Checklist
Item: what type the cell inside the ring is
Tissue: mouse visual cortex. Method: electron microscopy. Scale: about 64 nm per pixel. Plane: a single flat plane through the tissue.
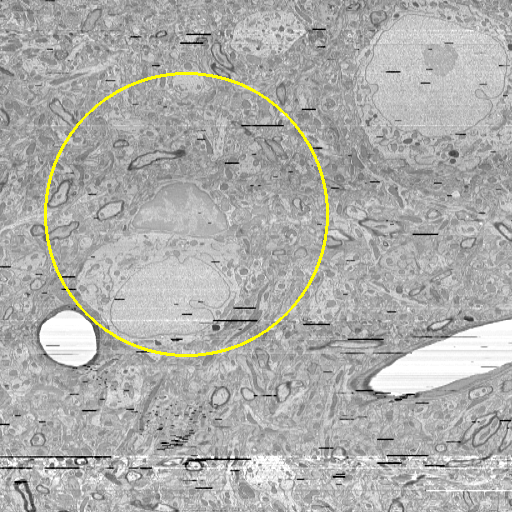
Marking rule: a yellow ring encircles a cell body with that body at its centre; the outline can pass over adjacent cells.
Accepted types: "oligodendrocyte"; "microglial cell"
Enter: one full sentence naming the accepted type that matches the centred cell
The entry is that a microglial cell lies at the centre of the yellow ring.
